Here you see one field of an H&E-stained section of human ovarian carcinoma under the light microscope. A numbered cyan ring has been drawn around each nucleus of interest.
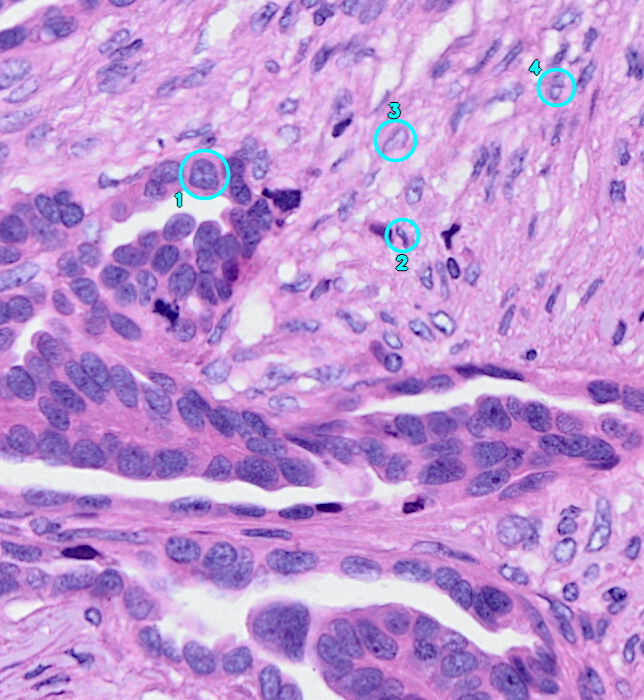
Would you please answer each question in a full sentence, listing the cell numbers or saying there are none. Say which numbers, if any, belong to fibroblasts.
The cells given the numbers 2, 3 and 4 are fibroblasts.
